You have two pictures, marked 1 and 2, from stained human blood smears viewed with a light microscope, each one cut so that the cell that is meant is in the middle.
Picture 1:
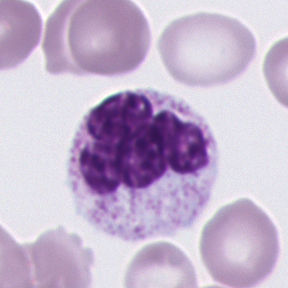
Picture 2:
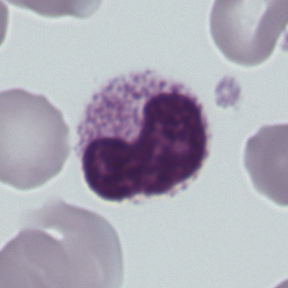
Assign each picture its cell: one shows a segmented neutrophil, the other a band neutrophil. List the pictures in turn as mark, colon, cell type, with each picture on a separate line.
1: segmented neutrophil
2: band neutrophil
